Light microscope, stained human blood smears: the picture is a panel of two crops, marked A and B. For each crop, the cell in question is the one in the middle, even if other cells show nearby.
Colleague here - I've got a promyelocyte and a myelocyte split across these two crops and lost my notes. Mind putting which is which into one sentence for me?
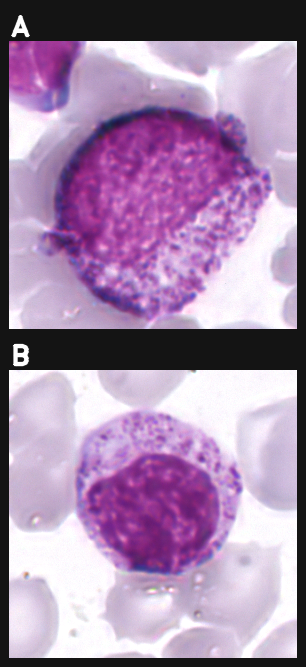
As for the pair, crop A is a promyelocyte and crop B is a myelocyte.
